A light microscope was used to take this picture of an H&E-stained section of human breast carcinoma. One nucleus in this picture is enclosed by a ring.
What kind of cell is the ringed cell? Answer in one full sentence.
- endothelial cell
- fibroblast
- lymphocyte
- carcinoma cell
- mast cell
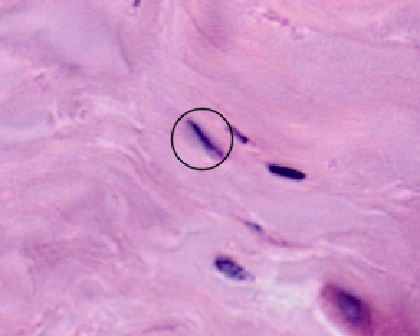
It is as a fibroblast that the ringed cell is recorded.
